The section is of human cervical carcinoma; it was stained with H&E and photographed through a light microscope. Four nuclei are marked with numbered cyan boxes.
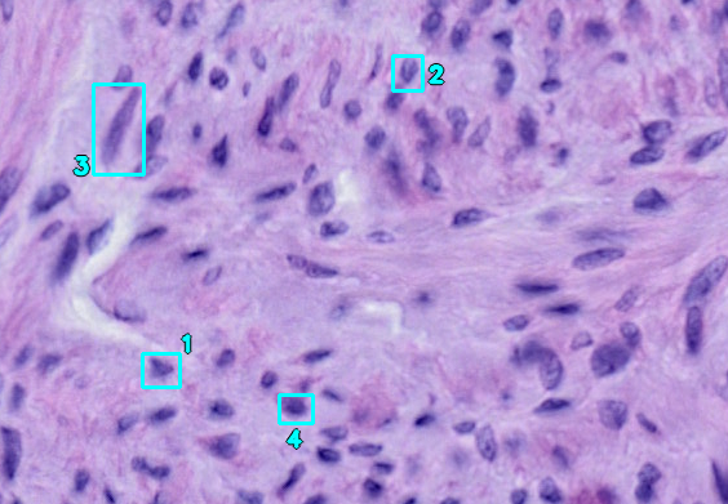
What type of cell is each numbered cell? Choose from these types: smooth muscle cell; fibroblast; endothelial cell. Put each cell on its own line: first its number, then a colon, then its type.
1: fibroblast
2: smooth muscle cell
3: smooth muscle cell
4: smooth muscle cell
